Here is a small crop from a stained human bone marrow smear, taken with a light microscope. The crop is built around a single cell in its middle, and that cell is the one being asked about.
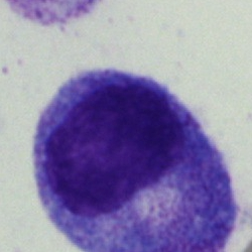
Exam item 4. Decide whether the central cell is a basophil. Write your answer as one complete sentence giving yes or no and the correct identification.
No, the centrally placed cell is a promyelocyte, not a basophil.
